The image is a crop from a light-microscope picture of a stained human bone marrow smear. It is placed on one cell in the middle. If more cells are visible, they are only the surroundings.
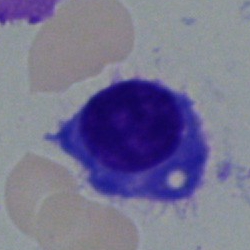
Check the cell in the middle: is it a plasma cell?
yes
